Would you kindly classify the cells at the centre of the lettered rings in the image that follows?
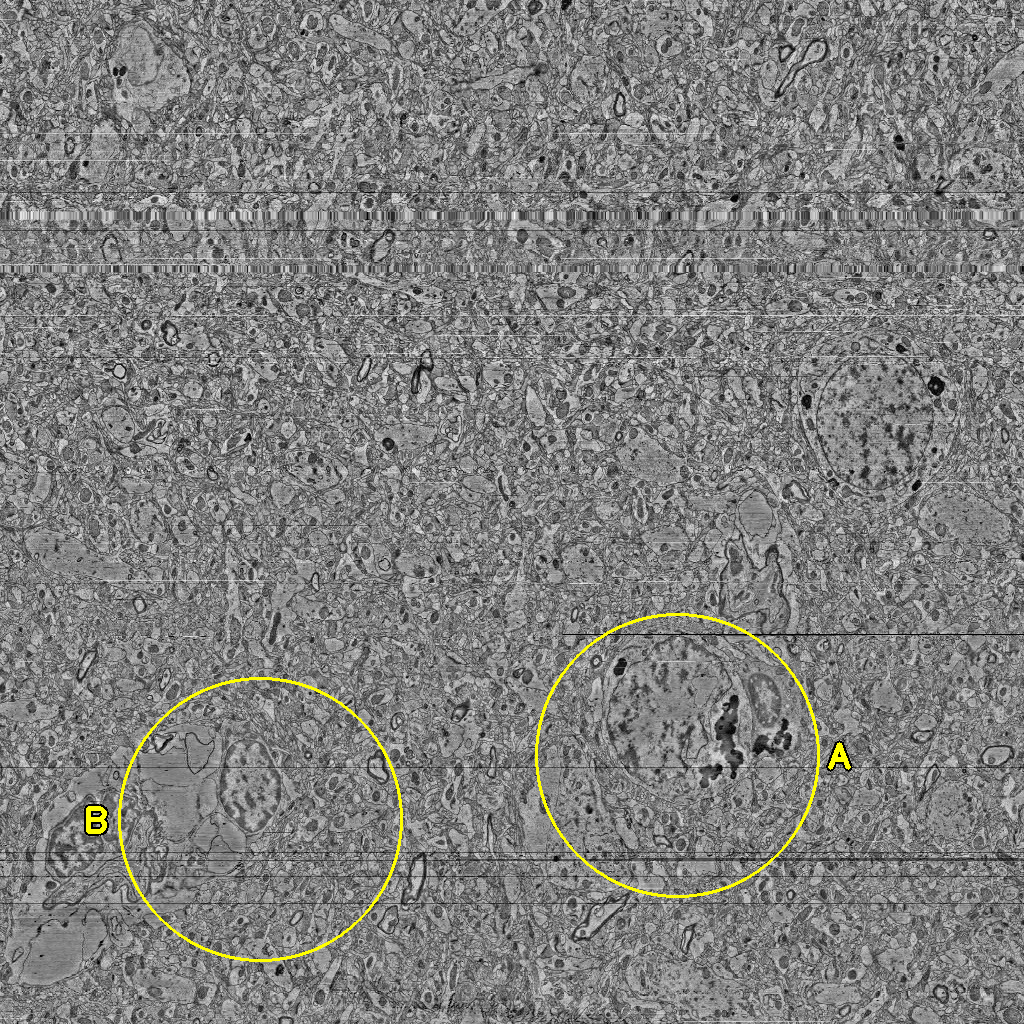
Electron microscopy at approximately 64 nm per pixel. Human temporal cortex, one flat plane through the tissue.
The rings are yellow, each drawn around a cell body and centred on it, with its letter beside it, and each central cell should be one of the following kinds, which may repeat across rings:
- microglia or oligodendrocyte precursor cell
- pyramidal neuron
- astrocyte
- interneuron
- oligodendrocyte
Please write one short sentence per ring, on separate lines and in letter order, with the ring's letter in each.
The kind of cell at the centre of ring A is an interneuron.
The kind of cell at the centre of ring B is a microglial cell or oligodendrocyte precursor cell.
